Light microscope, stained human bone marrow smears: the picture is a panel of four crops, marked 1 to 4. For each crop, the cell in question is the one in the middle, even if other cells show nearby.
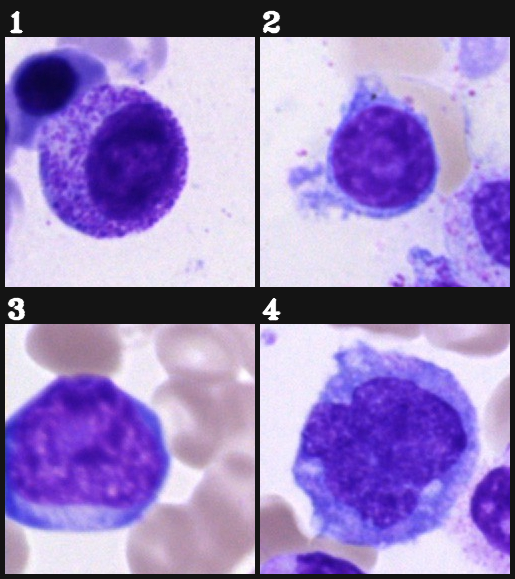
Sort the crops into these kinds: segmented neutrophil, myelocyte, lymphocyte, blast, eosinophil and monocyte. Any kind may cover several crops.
1: myelocyte
2: lymphocyte
3: blast
4: monocyte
